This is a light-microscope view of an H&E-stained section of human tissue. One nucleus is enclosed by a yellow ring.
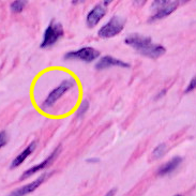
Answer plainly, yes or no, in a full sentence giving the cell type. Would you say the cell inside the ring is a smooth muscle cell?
Yes, identifying the cell inside the ring as a smooth muscle cell is right.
